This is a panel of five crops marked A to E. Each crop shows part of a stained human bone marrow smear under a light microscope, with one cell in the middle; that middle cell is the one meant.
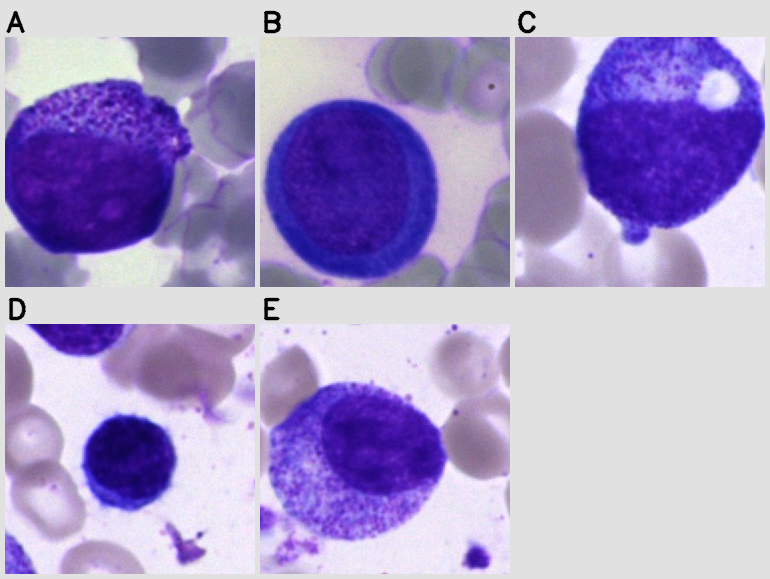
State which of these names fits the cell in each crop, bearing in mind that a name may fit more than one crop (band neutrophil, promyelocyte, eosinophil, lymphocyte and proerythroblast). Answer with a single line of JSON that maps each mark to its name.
{"A": "promyelocyte", "B": "proerythroblast", "C": "promyelocyte", "D": "lymphocyte", "E": "promyelocyte"}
